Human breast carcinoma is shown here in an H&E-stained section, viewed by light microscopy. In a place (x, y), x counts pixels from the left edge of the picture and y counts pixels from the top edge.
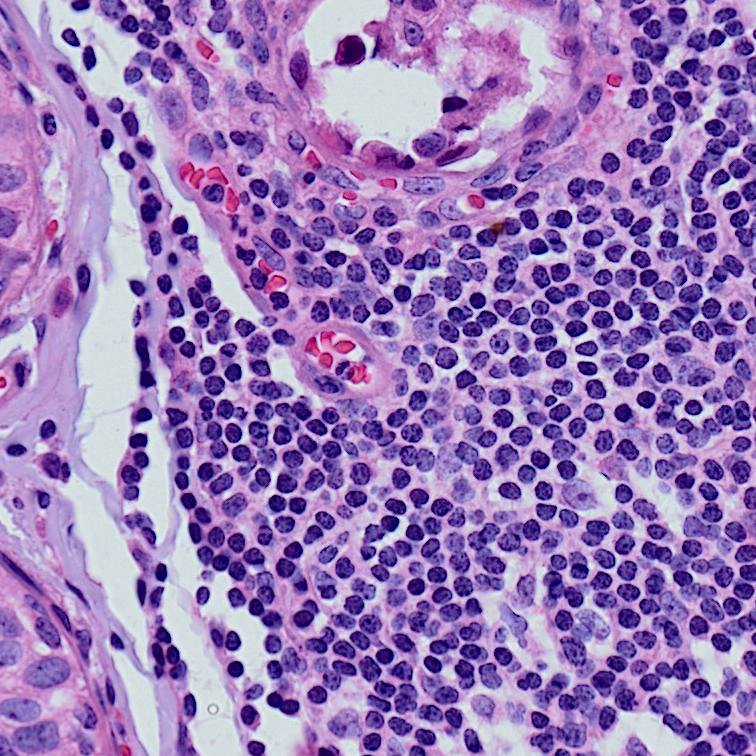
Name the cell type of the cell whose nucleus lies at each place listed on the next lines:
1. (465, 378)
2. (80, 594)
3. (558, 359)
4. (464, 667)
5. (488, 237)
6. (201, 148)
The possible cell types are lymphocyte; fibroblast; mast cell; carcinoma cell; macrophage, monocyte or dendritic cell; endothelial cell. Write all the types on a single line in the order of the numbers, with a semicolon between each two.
lymphocyte; fibroblast; lymphocyte; lymphocyte; lymphocyte; endothelial cell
